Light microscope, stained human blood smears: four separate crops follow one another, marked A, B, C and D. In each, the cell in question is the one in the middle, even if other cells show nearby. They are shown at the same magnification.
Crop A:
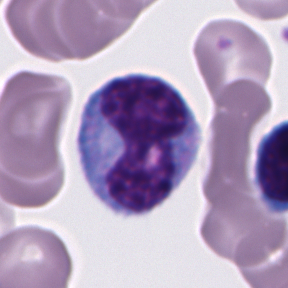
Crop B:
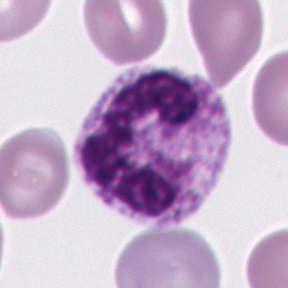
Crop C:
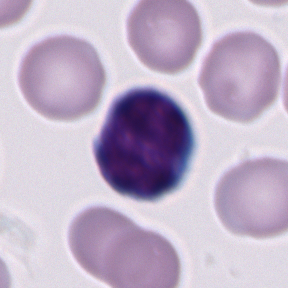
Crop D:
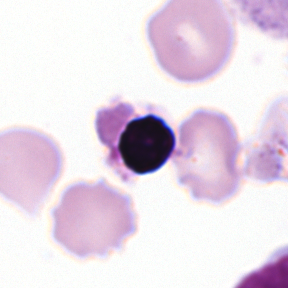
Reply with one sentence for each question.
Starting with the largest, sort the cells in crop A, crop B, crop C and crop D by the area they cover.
The order is B, A, C, D, beginning with the largest.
